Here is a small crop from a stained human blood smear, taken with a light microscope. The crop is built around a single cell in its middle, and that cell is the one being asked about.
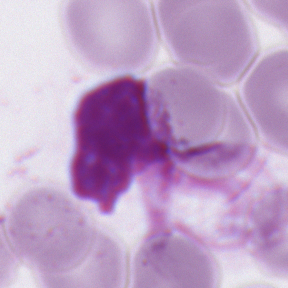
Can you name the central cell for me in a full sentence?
The central cell shown in this smear crop is a smudge cell.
